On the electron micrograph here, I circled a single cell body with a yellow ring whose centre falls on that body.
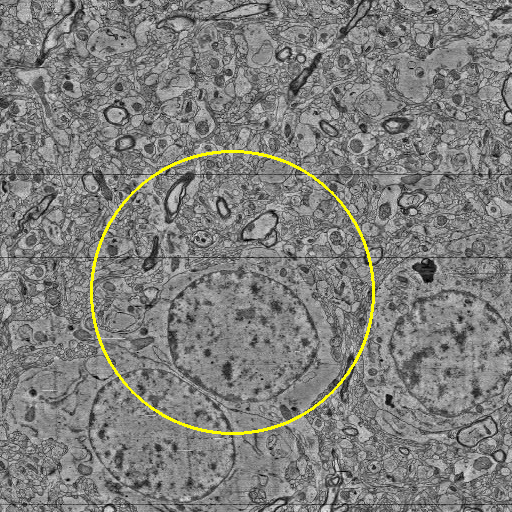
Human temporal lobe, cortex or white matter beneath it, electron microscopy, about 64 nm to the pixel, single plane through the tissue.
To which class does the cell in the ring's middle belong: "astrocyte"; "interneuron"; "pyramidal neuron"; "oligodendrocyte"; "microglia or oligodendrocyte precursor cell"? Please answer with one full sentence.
In this picture, the cell body circled at the ring's centre belongs to an astrocyte.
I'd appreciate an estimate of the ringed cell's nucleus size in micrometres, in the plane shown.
In this plane, about 10 micrometres in length and 8 in width.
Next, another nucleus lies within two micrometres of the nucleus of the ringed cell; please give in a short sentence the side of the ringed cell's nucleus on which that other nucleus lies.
The other one lies to the lower left of it.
